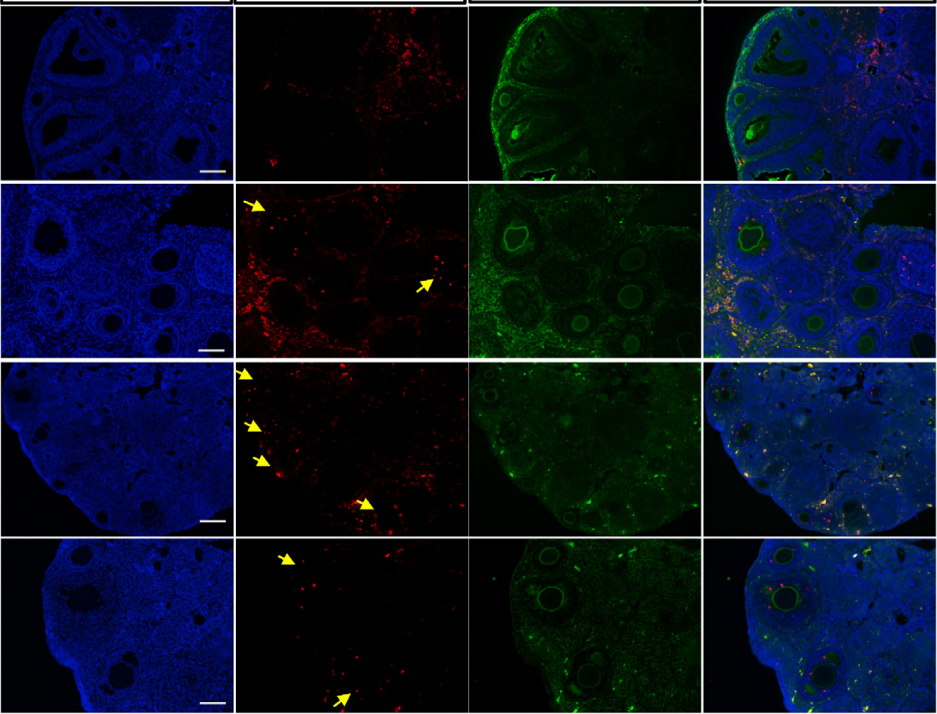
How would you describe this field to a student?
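This is a section of ovarian tissue, seen channel by channel and then merged, and the rounded units scattered through it are follicles. In the blue image, nuclei pack the whole section; within it sit round spaces, each holding one large central egg cell ringed by several layers of small, tightly packed granulosa cells. The green image outlines these follicles, and a bright green ring often hugs the rim of the egg cell. Red appears as fine scattered dots, some in the stroma between follicles and some among the granulosa layers, and yellow arrows point to several of these red dots.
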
